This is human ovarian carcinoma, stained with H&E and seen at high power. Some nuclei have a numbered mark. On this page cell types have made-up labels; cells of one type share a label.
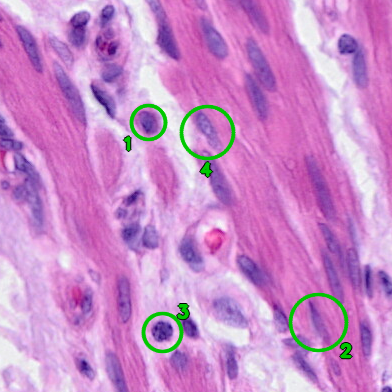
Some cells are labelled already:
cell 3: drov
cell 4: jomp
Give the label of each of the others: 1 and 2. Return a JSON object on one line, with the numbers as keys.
{"1": "jomp", "2": "jomp"}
